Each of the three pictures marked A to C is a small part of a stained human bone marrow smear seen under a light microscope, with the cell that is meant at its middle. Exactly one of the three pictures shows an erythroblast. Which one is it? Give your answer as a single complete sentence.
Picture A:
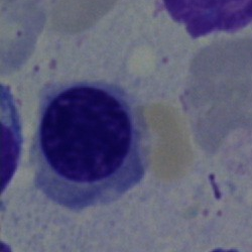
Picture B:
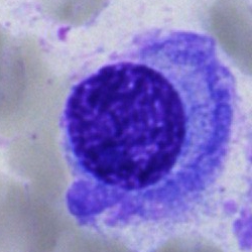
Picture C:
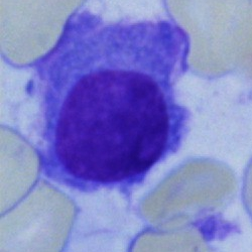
Picture A is the one that shows the erythroblast.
